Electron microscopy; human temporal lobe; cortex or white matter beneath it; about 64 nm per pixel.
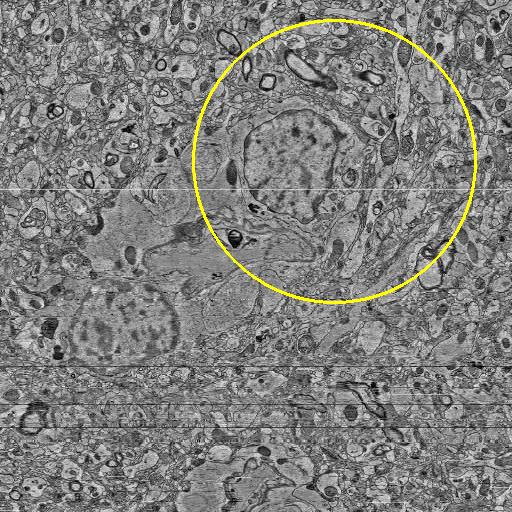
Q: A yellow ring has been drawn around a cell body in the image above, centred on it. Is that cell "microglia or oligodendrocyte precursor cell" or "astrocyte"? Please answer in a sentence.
The ring surrounds the cell body of a microglial cell or oligodendrocyte precursor cell.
